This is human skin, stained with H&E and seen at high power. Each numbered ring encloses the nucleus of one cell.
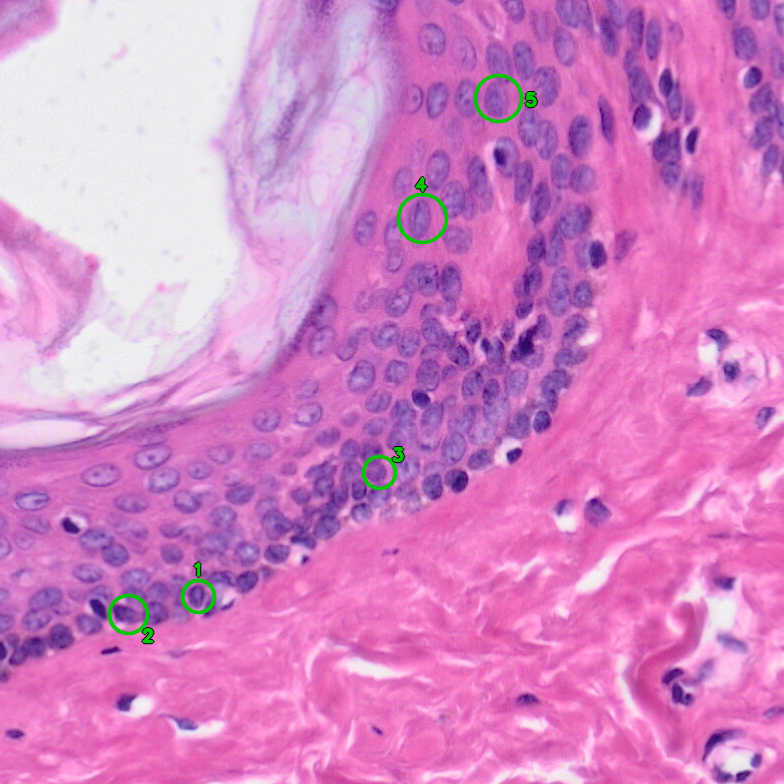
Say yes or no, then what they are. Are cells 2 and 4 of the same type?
No, the cell labelled 2 is a basal keratinocyte; the cell labelled 4 is a suprabasal keratinocyte.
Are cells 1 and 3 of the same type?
Yes, for cells 1 and 3 alike, the identity is that of basal keratinocytes.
